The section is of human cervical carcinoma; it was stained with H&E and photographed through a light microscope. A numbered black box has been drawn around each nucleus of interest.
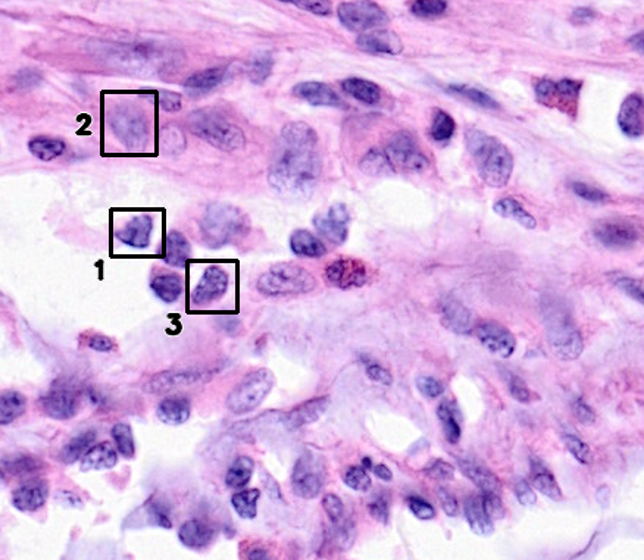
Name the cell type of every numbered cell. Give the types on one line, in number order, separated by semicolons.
lymphocyte; endothelial cell; lymphocyte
